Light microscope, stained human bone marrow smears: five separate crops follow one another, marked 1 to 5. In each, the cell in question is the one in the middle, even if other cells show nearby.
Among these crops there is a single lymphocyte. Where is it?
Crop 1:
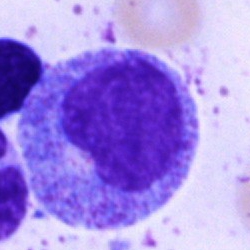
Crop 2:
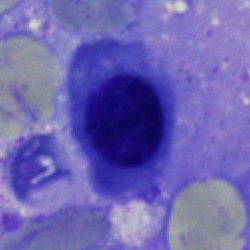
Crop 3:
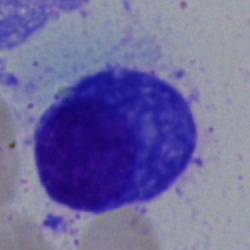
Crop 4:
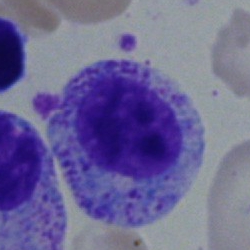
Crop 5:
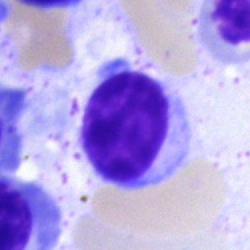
5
